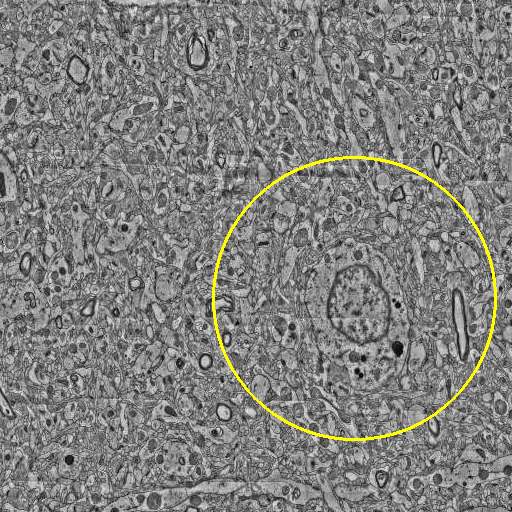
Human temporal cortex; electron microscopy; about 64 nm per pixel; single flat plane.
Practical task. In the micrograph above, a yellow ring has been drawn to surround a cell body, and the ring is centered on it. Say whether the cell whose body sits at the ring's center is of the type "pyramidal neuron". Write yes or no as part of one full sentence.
Yes, the cell at the center of the ring above is of the type asked about.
